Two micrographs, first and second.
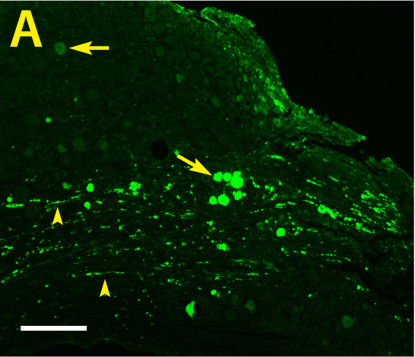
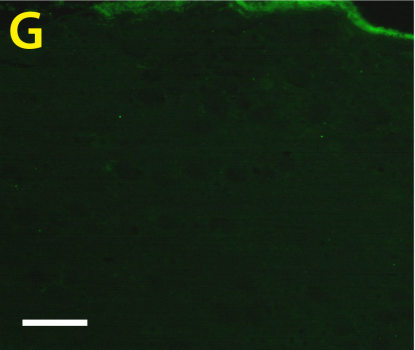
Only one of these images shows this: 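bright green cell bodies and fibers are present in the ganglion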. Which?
the first image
